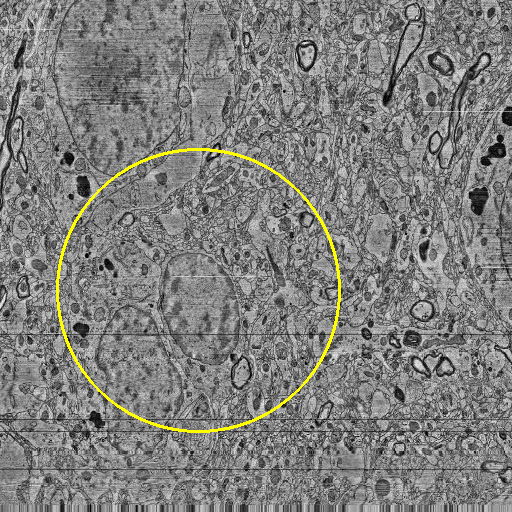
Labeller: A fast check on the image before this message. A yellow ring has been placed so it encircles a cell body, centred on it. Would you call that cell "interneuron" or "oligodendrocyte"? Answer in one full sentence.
In this image, an oligodendrocyte is the cell on which the yellow ring is centred.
